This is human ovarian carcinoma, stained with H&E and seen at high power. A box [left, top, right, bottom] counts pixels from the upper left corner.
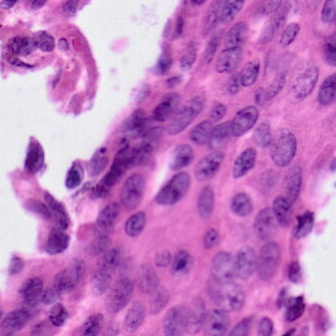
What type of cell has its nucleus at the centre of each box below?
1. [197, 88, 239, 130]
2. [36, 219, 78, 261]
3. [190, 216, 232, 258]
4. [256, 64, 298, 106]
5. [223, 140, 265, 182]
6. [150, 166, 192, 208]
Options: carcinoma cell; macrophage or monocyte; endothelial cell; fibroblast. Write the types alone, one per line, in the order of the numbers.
carcinoma cell
carcinoma cell
endothelial cell
carcinoma cell
macrophage or monocyte
carcinoma cell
